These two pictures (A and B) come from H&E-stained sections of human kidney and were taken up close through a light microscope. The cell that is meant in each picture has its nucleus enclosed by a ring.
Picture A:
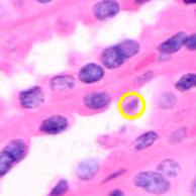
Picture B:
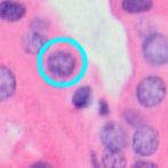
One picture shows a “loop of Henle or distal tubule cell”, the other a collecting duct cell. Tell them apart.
A: loop of Henle or distal tubule cell
B: collecting duct cell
